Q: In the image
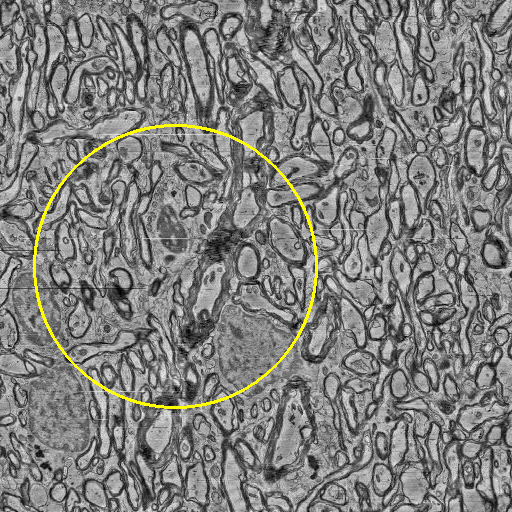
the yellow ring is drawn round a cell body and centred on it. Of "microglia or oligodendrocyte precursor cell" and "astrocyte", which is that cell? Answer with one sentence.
The cell centred in the ring is a microglial cell or oligodendrocyte precursor cell.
